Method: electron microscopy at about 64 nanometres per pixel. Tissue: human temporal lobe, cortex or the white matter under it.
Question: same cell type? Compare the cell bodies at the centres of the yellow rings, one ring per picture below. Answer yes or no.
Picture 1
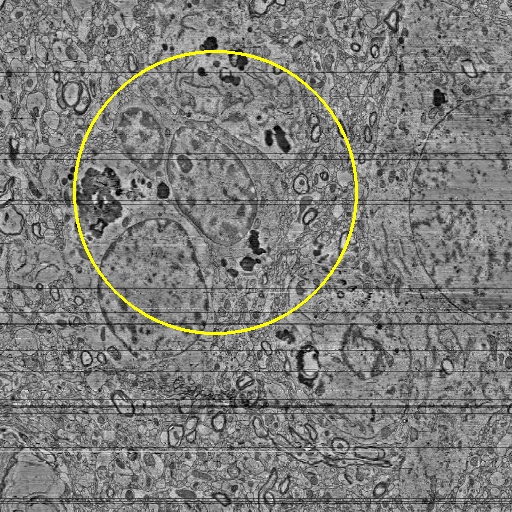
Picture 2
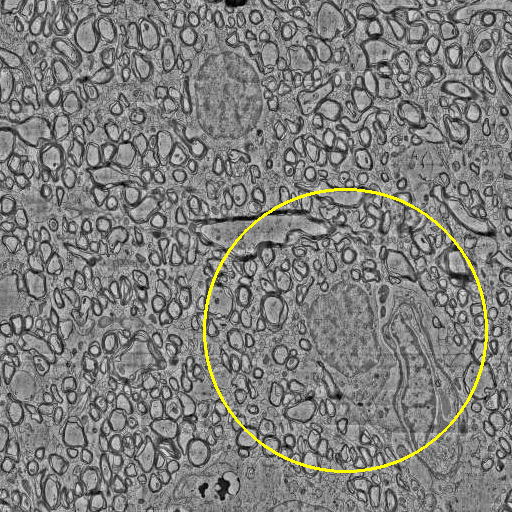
yes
